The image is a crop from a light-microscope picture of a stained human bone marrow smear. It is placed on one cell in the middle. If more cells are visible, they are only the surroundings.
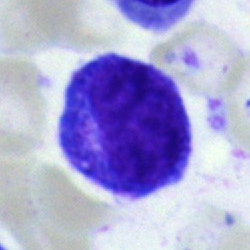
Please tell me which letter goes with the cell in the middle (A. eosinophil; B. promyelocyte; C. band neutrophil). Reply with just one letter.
B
